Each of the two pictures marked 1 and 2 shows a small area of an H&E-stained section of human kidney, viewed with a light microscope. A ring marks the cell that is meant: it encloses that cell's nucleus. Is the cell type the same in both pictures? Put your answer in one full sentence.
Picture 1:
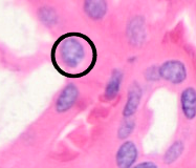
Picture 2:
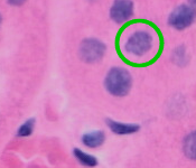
Yes; the cells in both pictures are “loop of Henle or distal tubule cells”.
